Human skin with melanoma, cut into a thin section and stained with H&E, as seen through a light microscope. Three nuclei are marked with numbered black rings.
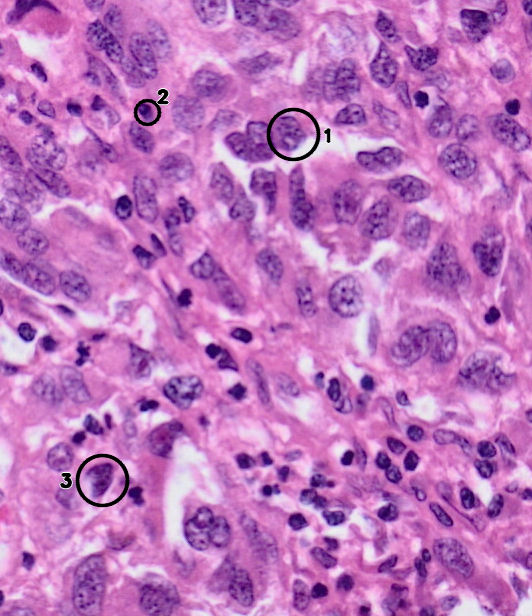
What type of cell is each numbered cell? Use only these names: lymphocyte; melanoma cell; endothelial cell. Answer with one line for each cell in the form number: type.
1: melanoma cell
2: lymphocyte
3: melanoma cell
